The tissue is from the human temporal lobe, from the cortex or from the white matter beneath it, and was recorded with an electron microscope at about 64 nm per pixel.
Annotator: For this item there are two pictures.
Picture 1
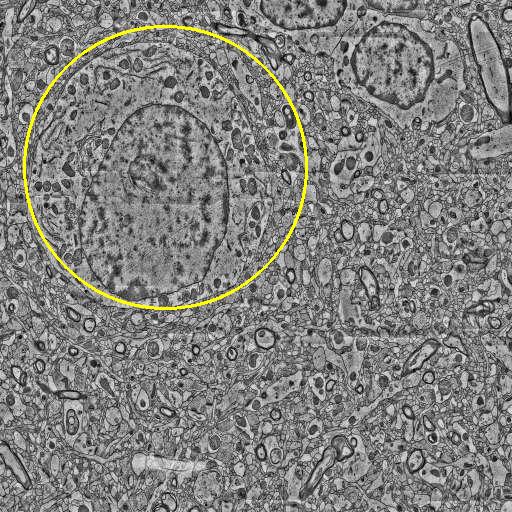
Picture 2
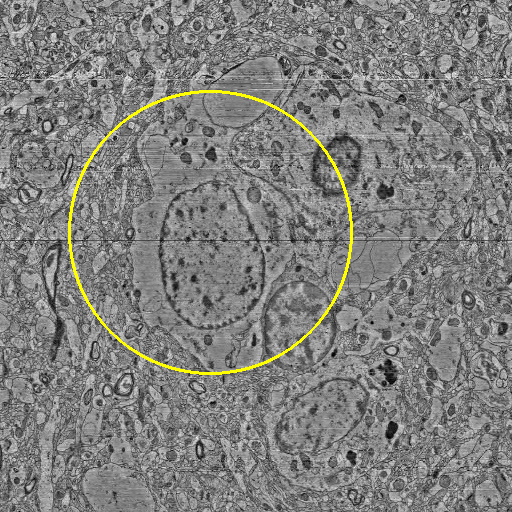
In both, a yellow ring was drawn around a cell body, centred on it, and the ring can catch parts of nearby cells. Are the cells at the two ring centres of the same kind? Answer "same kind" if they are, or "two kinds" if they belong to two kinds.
two kinds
